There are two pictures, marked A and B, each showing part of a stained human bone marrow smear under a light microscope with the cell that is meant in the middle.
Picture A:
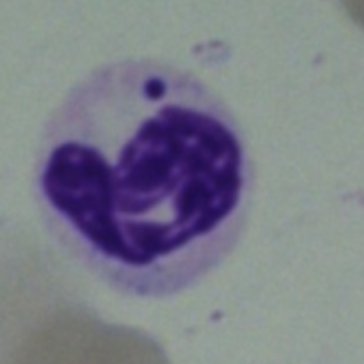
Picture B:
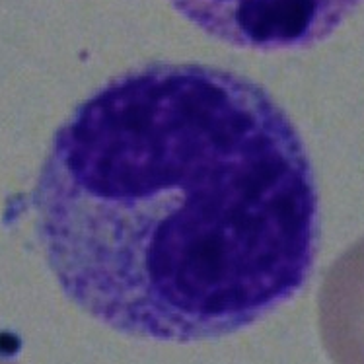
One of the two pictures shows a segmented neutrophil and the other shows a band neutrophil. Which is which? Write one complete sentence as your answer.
Picture A is of a segmented neutrophil, and picture B is of a band neutrophil.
